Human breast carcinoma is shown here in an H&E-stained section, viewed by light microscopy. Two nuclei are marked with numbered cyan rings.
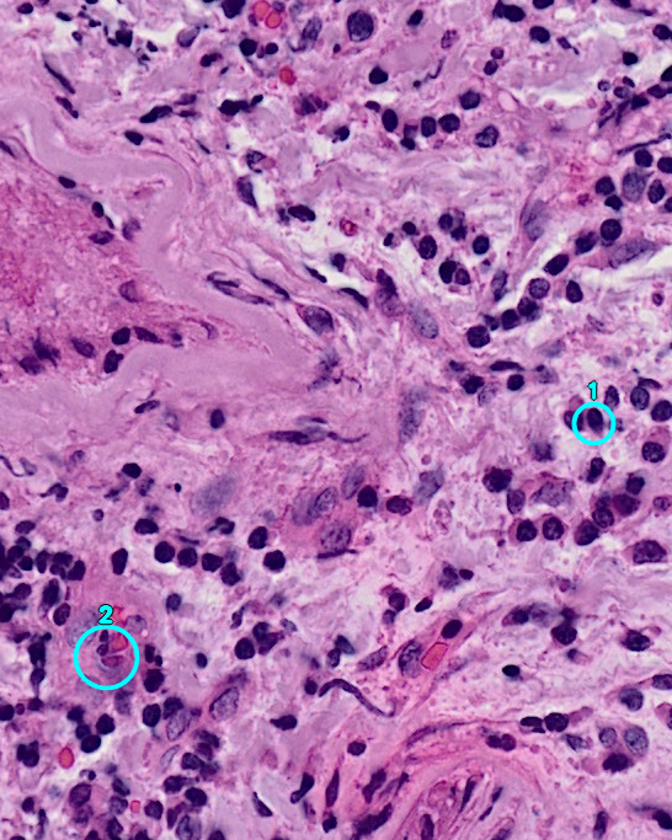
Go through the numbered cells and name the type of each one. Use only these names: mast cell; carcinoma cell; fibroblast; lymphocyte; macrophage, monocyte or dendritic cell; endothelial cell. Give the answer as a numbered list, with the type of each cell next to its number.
1. lymphocyte
2. endothelial cell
